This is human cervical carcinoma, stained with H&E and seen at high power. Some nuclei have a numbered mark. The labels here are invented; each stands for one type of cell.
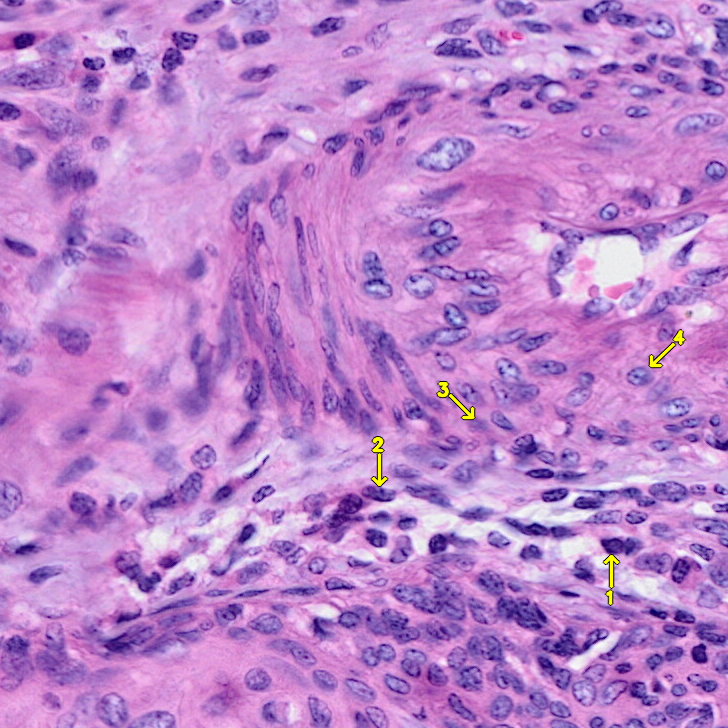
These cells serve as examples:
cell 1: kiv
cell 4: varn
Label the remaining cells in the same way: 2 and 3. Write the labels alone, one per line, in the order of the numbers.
kiv
varn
